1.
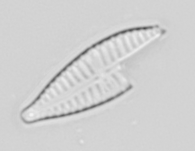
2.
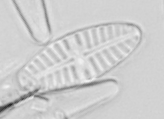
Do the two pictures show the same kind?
No: Gomphonema, then Planothidium.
